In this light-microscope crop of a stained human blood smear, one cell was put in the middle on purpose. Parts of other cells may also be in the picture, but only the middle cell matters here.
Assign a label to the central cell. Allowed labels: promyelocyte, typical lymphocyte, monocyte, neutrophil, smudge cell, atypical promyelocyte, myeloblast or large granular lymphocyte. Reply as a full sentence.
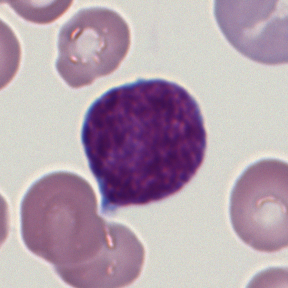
The cell at the central position in this crop is a myeloblast.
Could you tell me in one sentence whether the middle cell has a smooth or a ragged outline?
Projections or ragged segments give this cell an irregular rather than smooth border.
